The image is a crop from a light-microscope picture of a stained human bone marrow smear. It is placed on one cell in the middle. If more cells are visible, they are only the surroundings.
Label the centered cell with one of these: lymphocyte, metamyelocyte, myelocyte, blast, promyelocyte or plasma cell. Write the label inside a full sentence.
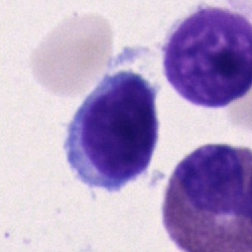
The centrally placed cell is classified as a lymphocyte.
